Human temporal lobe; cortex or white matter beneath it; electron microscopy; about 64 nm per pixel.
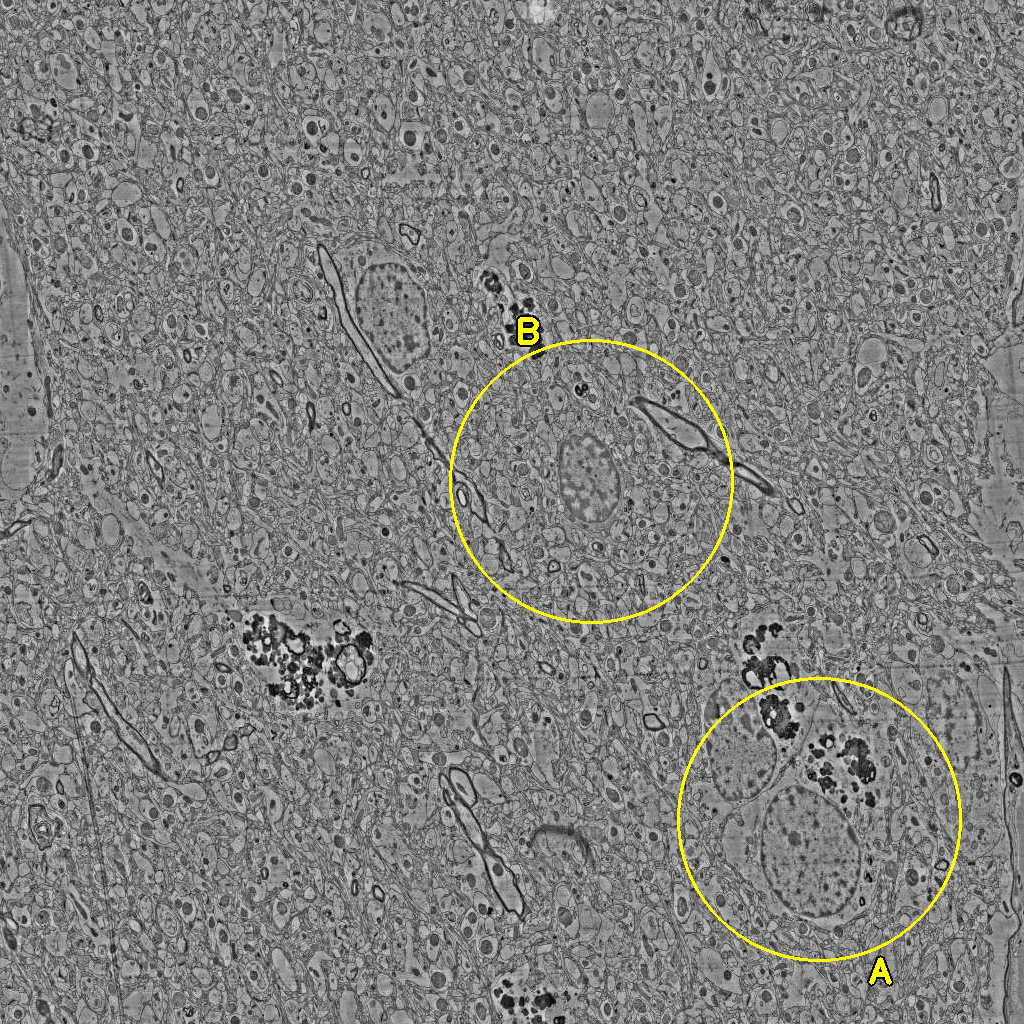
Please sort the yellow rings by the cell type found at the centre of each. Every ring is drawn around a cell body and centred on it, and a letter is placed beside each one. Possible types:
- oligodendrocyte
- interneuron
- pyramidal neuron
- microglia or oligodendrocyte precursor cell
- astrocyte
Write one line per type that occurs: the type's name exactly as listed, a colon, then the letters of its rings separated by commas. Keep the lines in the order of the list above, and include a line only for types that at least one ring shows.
oligodendrocyte: B
astrocyte: A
